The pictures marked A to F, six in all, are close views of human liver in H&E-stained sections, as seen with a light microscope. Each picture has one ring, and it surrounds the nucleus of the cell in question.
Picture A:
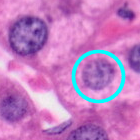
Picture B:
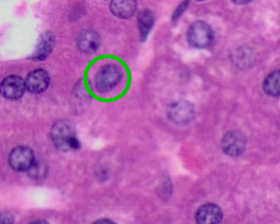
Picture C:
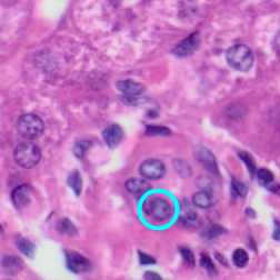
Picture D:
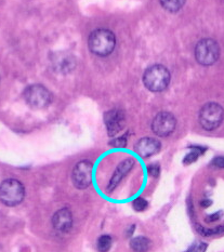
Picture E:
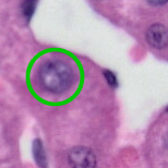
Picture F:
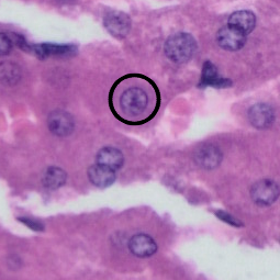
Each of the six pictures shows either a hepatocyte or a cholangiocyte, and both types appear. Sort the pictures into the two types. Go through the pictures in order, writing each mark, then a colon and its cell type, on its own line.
A: hepatocyte
B: cholangiocyte
C: cholangiocyte
D: cholangiocyte
E: hepatocyte
F: hepatocyte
